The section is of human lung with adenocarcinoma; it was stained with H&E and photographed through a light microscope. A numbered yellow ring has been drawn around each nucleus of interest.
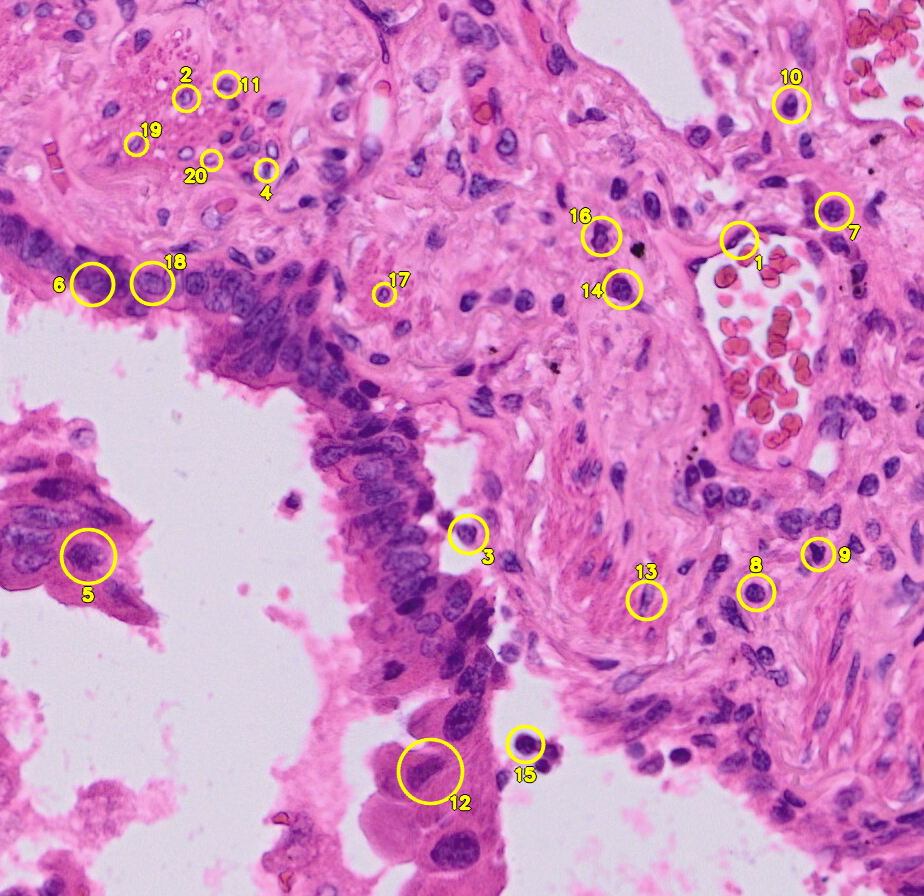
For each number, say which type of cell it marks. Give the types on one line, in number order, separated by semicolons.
endothelial cell; smooth muscle cell or pericyte; lymphocyte; smooth muscle cell or pericyte; carcinoma cell; ciliated epithelial cell; lymphocyte; lymphocyte; lymphocyte; lymphocyte; smooth muscle cell or pericyte; carcinoma cell; smooth muscle cell or pericyte; plasma cell; lymphocyte; plasma cell; smooth muscle cell or pericyte; ciliated epithelial cell; smooth muscle cell or pericyte; smooth muscle cell or pericyte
